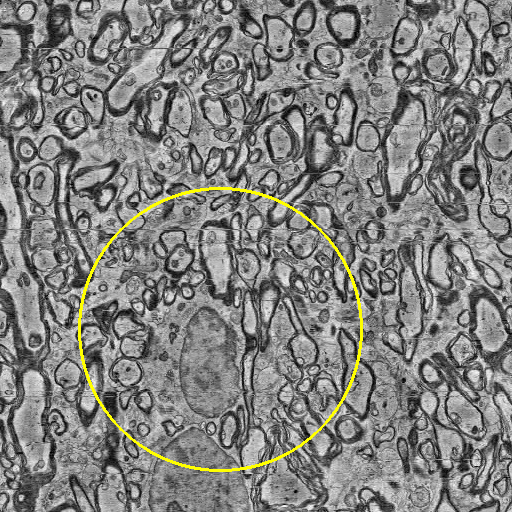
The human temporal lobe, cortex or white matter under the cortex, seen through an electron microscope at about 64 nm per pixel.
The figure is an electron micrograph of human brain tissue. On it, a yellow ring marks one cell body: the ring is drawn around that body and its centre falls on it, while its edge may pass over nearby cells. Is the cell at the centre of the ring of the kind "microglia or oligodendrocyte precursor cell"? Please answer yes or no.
no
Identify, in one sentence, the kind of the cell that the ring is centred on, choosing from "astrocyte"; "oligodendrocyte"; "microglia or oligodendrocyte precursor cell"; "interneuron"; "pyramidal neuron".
Instead, the cell at the centre of the yellow ring is an oligodendrocyte.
